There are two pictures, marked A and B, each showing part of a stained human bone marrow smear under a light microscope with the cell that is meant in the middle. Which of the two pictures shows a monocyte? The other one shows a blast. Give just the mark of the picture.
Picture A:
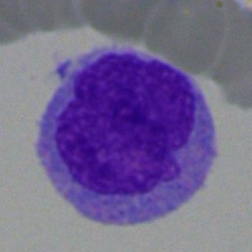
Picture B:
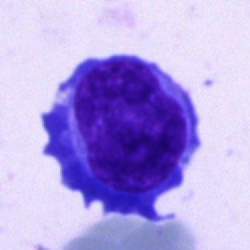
A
